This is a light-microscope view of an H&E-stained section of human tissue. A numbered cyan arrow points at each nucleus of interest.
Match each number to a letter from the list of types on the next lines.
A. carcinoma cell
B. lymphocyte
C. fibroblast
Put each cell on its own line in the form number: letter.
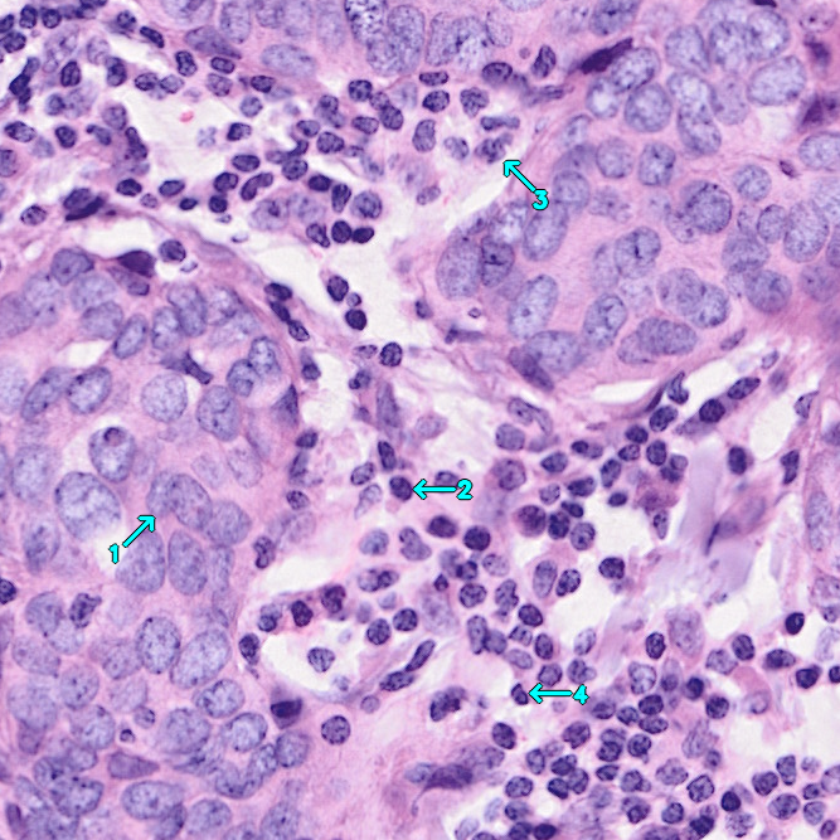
1: A
2: B
3: B
4: B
